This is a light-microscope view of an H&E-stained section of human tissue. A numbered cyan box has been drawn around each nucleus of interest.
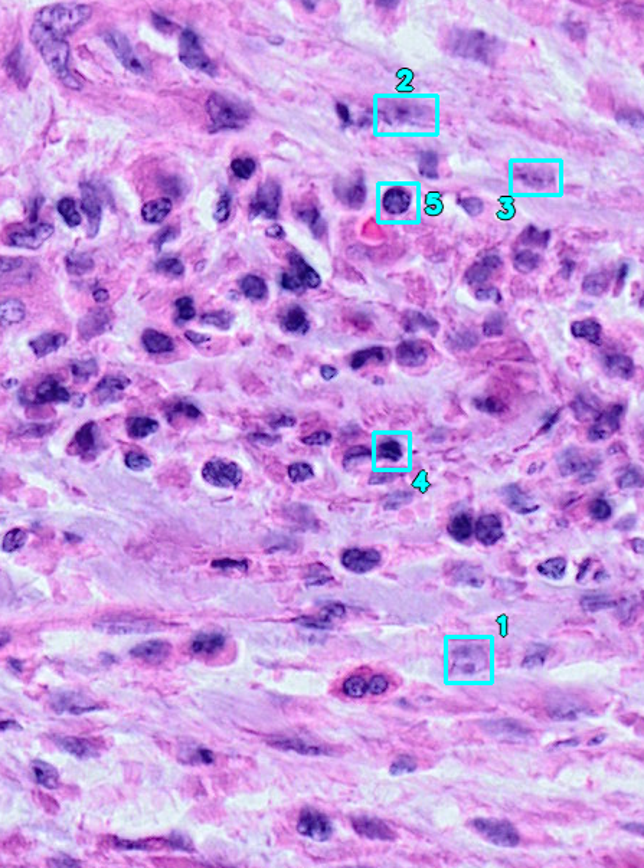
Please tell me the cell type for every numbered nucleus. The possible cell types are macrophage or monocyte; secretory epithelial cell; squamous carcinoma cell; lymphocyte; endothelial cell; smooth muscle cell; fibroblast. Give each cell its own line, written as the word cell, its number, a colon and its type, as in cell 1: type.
cell 1: fibroblast
cell 2: fibroblast
cell 3: fibroblast
cell 4: lymphocyte
cell 5: lymphocyte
